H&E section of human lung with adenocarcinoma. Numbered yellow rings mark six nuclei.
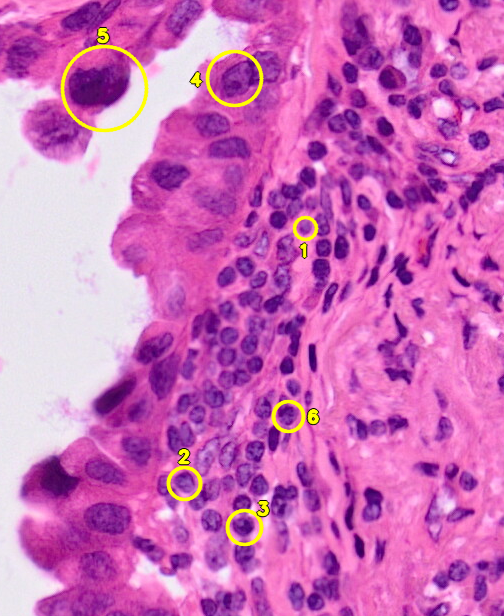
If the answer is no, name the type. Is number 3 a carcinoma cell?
No, it is a lymphocyte.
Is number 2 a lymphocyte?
Yes.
